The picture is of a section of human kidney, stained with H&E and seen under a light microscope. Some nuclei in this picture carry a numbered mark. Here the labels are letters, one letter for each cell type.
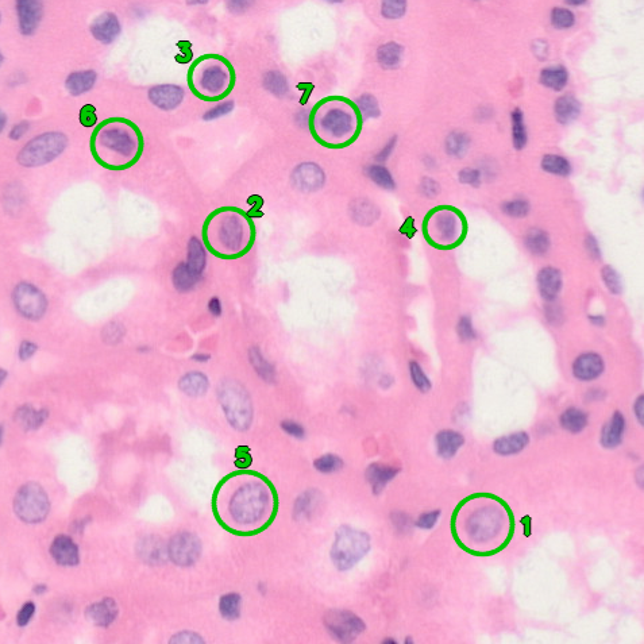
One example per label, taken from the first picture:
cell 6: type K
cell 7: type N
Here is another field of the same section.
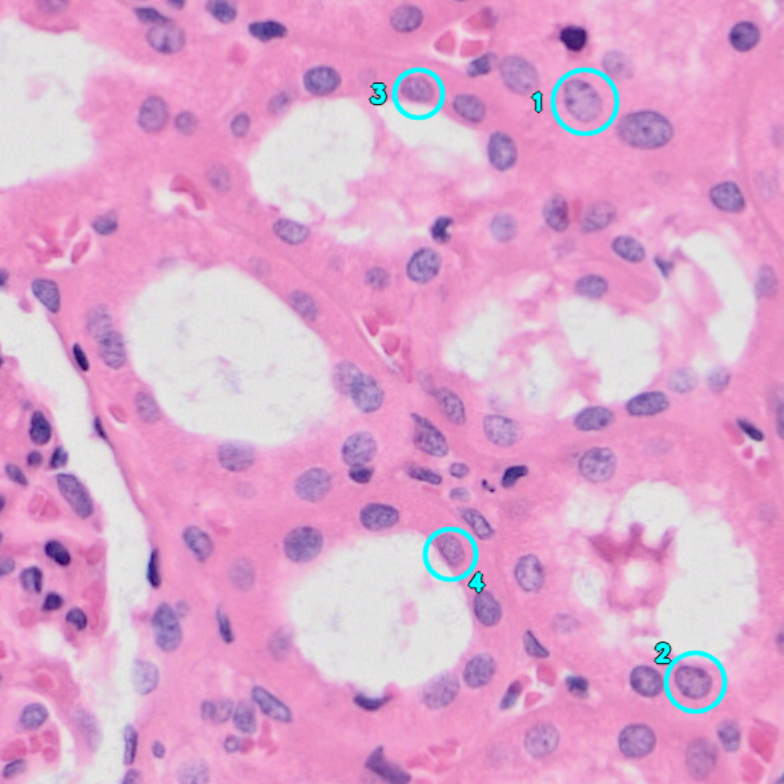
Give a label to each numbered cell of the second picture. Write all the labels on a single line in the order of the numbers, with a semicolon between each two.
type K; type K; type N; type N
